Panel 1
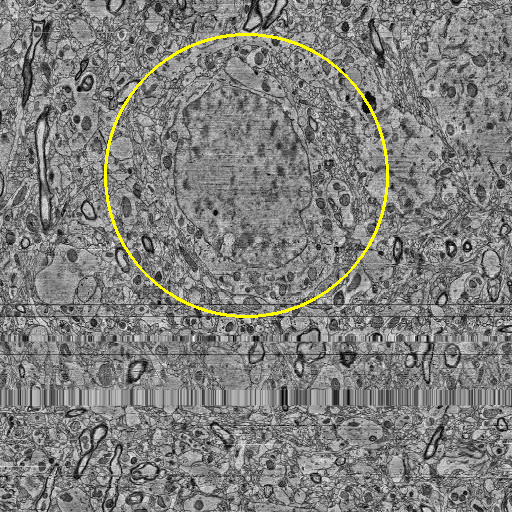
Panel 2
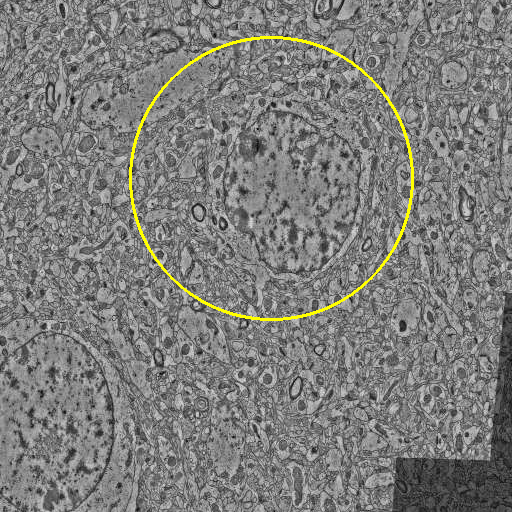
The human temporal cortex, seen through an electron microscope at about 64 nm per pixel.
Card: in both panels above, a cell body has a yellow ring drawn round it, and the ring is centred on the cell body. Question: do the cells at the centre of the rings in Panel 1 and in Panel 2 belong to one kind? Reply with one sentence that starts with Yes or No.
Yes, the cells centred in the rings of Panel 1 and Panel 2 are one kind of cell.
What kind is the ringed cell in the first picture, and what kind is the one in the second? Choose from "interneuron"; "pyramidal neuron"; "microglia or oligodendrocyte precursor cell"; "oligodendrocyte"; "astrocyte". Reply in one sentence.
Each cell, in the first picture and the second, is an interneuron.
